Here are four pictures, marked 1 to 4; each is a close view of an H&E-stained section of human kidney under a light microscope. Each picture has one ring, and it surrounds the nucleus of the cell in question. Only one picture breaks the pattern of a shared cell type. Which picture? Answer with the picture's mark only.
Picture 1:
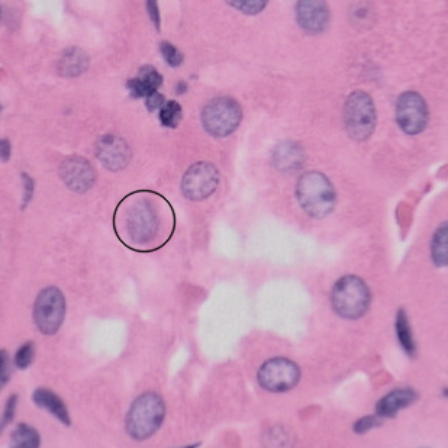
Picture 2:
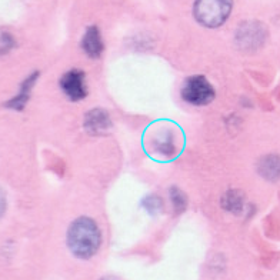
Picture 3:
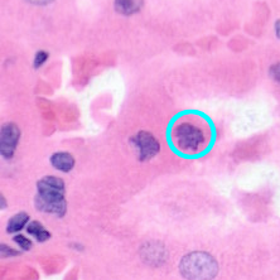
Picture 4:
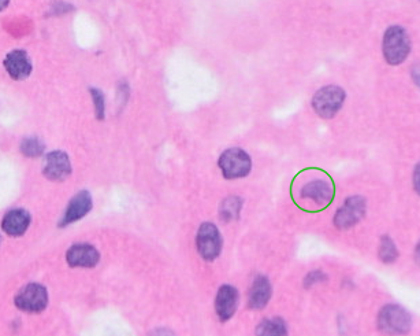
2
